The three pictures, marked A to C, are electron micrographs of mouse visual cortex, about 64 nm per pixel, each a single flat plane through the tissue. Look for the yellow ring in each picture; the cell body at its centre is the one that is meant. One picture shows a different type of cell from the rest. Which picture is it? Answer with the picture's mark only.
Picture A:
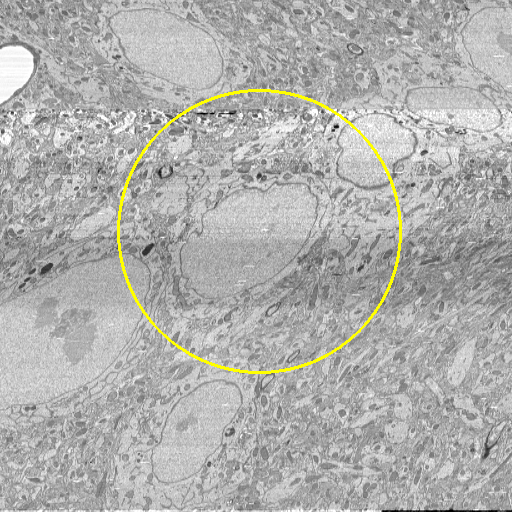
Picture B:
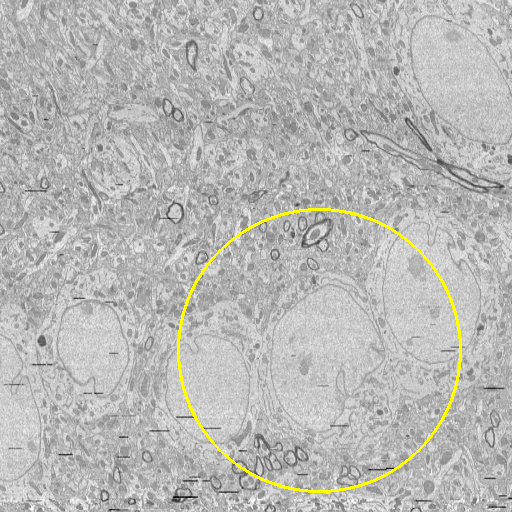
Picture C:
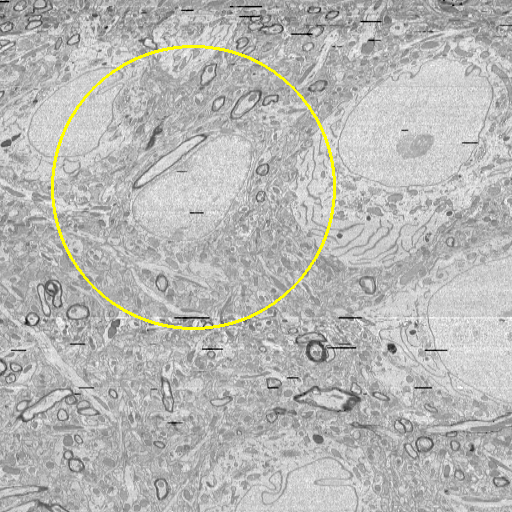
C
